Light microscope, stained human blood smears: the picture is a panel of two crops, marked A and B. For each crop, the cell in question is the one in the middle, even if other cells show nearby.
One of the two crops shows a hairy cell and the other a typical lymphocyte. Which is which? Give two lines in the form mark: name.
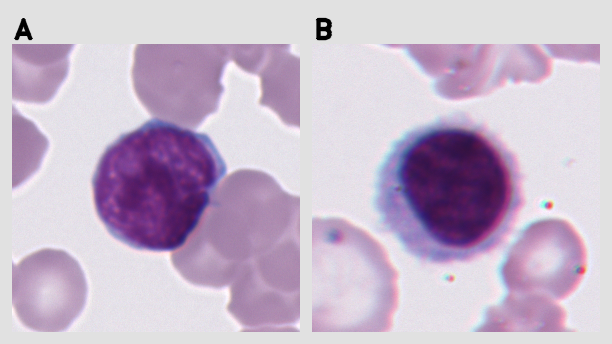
A: typical lymphocyte
B: hairy cell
